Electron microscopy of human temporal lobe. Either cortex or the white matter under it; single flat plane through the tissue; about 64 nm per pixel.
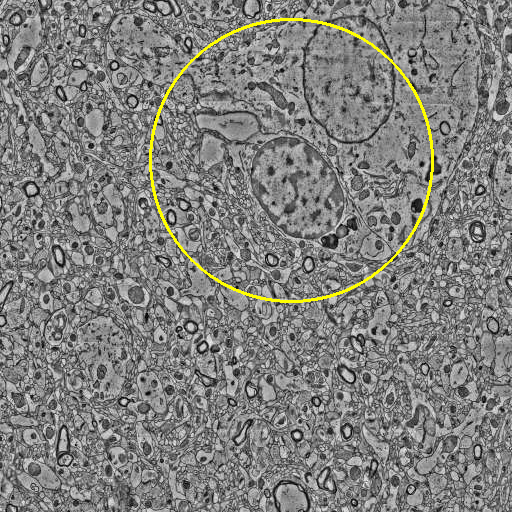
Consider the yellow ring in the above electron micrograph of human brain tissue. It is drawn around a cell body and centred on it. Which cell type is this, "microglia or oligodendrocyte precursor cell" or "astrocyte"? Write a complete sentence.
The cell in question is a microglial cell or oligodendrocyte precursor cell.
